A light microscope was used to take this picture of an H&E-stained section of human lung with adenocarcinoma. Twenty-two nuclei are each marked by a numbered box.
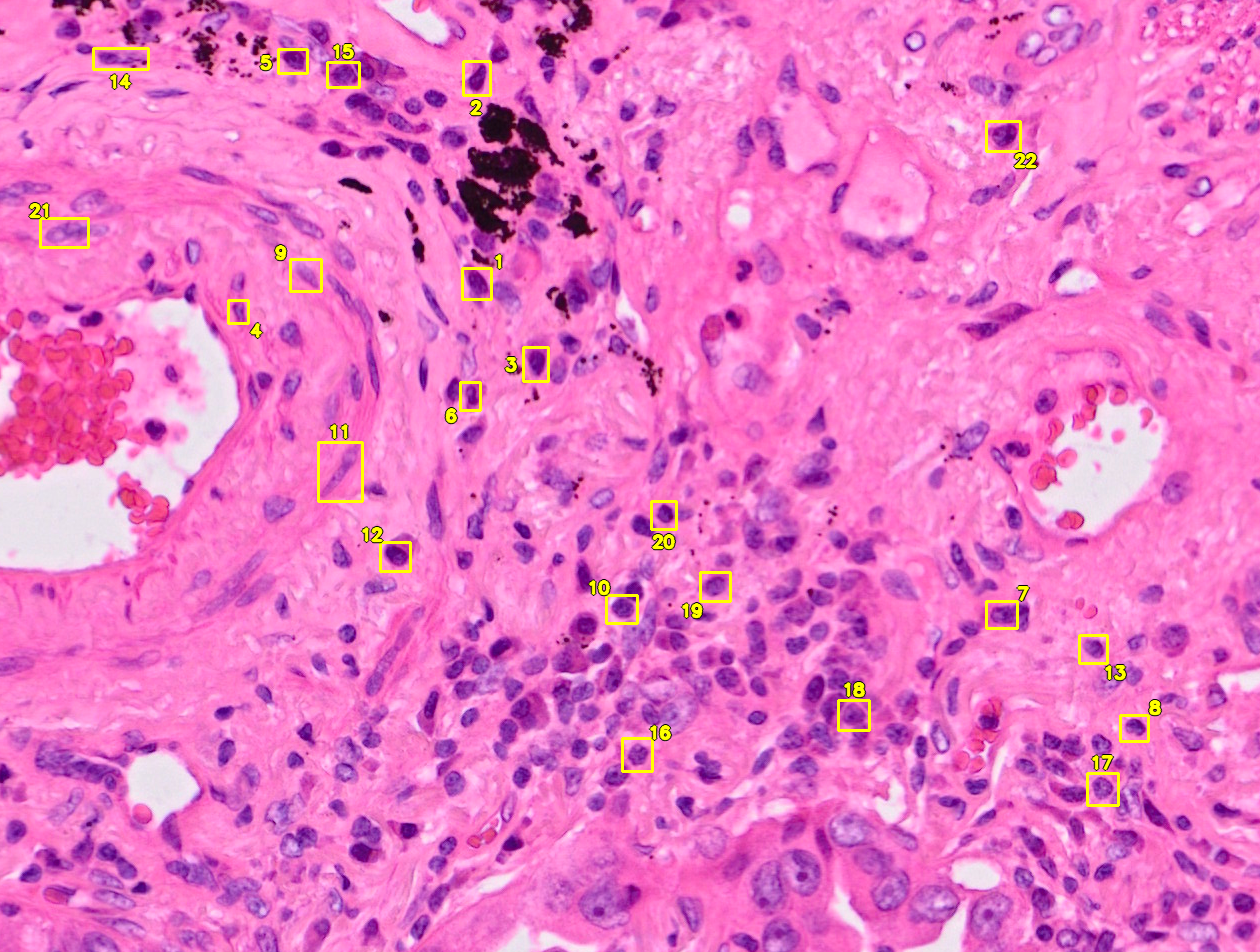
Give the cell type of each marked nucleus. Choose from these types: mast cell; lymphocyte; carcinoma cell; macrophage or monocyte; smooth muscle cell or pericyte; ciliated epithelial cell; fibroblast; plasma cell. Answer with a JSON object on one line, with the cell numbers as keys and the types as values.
{"1": "plasma cell", "2": "plasma cell", "3": "plasma cell", "4": "smooth muscle cell or pericyte", "5": "plasma cell", "6": "plasma cell", "7": "plasma cell", "8": "lymphocyte", "9": "smooth muscle cell or pericyte", "10": "lymphocyte", "11": "smooth muscle cell or pericyte", "12": "plasma cell", "13": "lymphocyte", "14": "fibroblast", "15": "plasma cell", "16": "lymphocyte", "17": "lymphocyte", "18": "lymphocyte", "19": "plasma cell", "20": "lymphocyte", "21": "smooth muscle cell or pericyte", "22": "plasma cell"}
